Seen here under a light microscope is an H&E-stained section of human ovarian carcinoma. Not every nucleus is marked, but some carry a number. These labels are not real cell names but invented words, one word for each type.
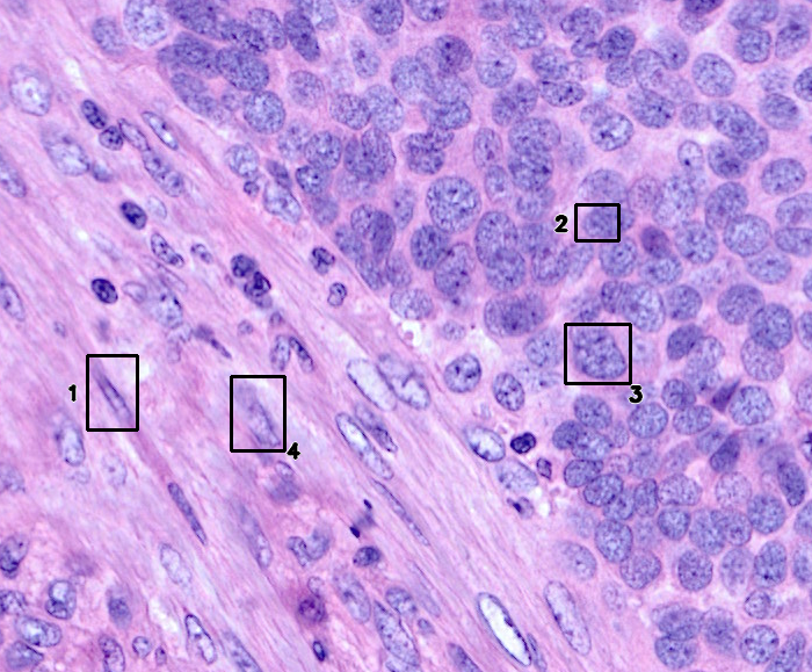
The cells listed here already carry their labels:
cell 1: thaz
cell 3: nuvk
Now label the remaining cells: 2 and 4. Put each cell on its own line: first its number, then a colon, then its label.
2: nuvk
4: thaz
